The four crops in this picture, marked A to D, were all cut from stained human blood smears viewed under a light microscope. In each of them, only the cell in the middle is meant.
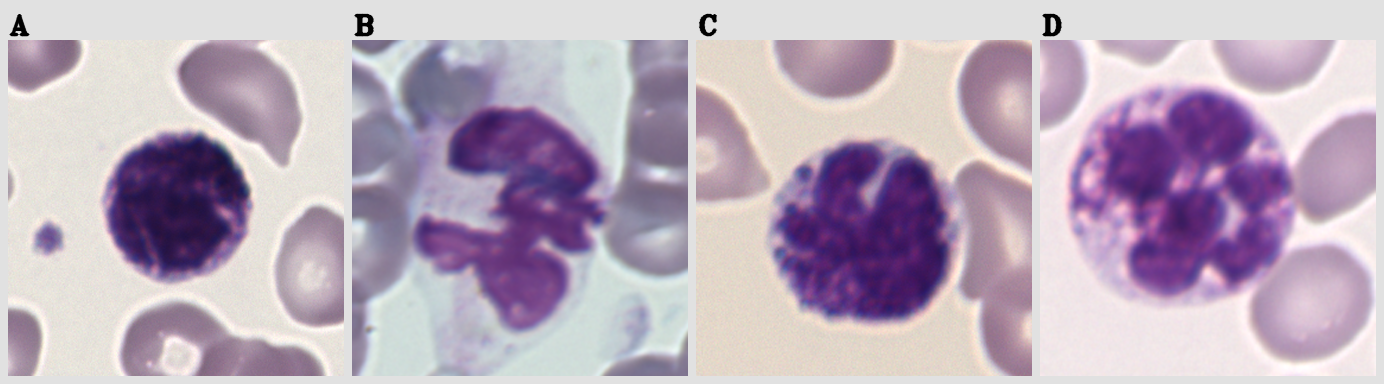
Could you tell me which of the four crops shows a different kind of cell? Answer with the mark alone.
B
